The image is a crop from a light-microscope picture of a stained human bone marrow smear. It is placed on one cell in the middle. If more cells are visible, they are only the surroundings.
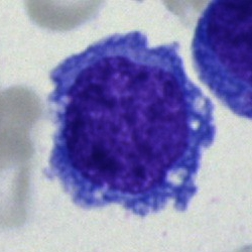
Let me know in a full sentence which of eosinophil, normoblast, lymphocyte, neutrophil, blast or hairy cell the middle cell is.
As for the cell in the middle, it is a blast.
